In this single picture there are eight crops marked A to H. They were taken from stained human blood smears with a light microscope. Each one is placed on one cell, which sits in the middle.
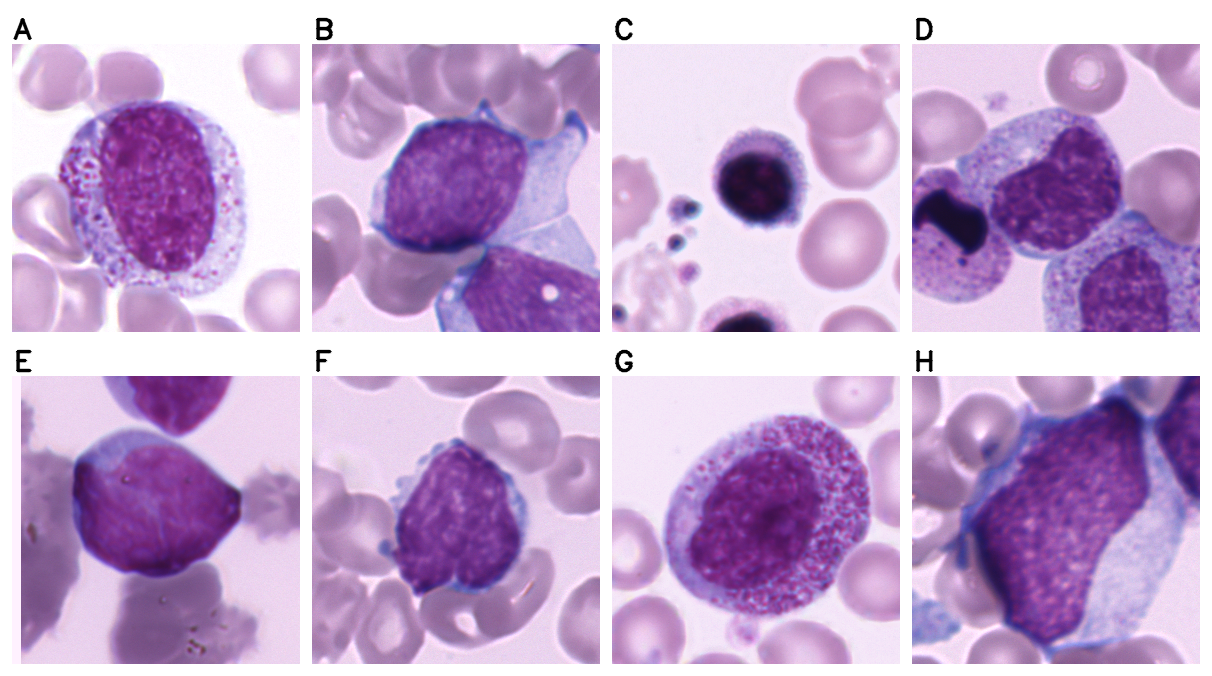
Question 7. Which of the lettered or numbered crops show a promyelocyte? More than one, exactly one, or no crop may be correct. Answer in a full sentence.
The cells in the middle of crops A, D, G and H count as promyelocytes.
